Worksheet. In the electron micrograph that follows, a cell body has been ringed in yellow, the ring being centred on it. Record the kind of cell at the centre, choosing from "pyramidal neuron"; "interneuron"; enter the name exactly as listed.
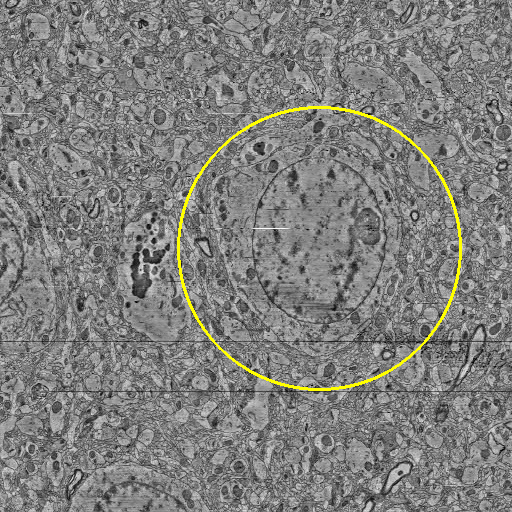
pyramidal neuron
